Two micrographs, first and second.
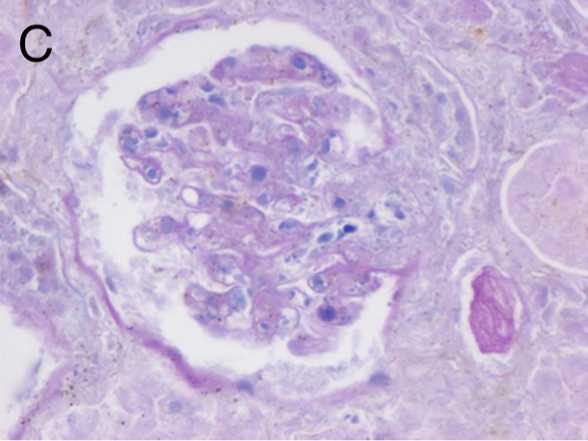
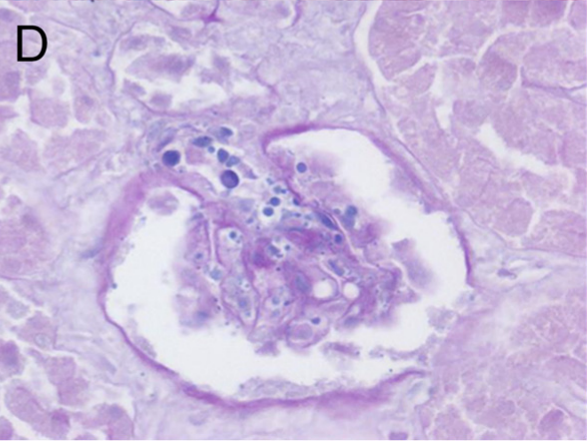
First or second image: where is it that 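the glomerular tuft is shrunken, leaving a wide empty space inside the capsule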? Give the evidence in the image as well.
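First image: the tuft is large and cellular, filling most of the capsule. Second image: the tuft is small and compacted, with a wide clear space around it.
Hence: the second image.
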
